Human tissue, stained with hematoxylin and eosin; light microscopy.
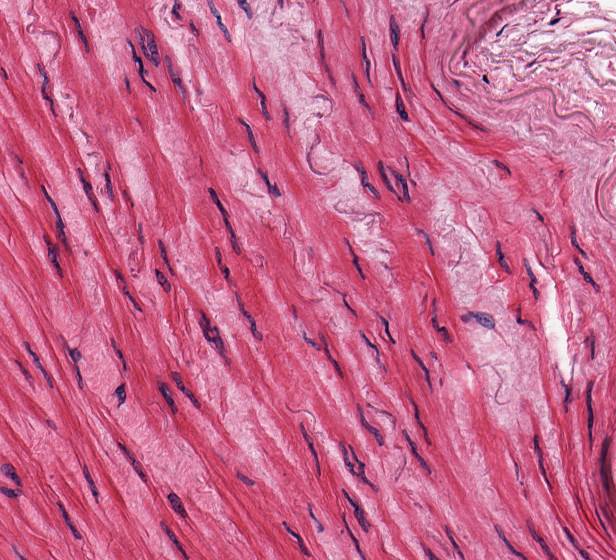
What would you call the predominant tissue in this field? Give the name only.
tunica media of an artery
